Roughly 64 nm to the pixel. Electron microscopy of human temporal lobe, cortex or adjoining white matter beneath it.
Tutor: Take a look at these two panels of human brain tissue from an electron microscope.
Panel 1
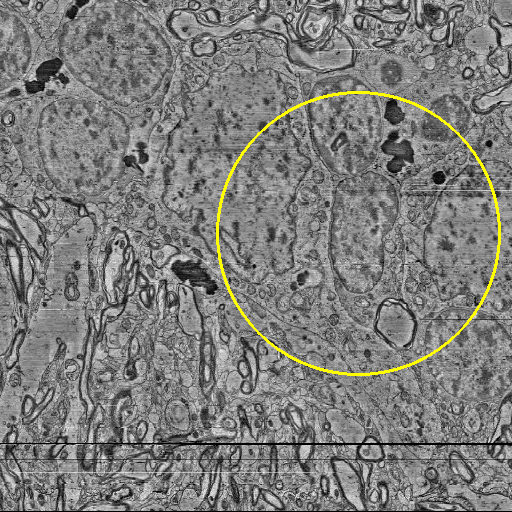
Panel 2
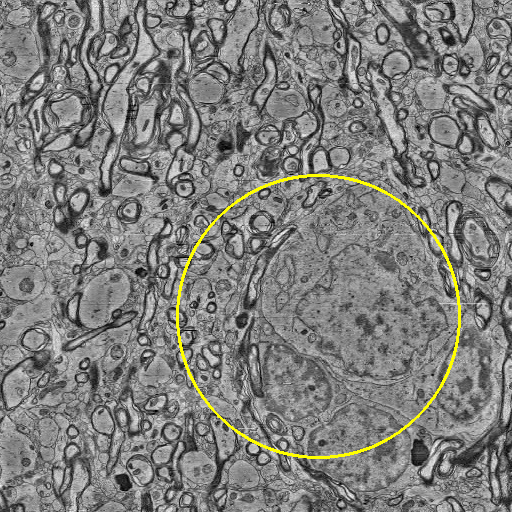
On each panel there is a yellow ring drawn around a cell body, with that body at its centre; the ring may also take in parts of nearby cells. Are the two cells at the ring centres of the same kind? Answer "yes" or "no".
no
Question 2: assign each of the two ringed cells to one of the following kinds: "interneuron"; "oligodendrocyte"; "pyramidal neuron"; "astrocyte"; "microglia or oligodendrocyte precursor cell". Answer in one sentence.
The two cells are an oligodendrocyte in the first picture and an interneuron in the second.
